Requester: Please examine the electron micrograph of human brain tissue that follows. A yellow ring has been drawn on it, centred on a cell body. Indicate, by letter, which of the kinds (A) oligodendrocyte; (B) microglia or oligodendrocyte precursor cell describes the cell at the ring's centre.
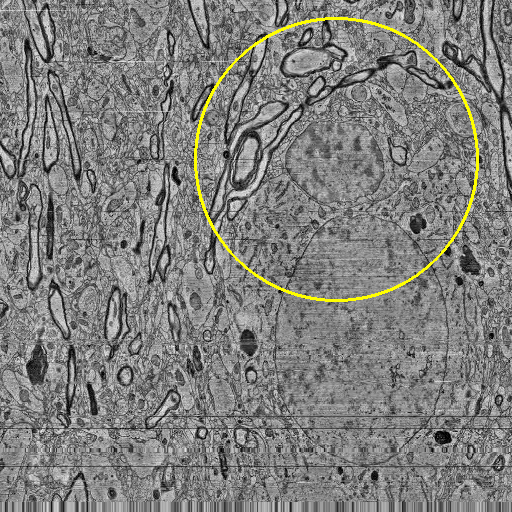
A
